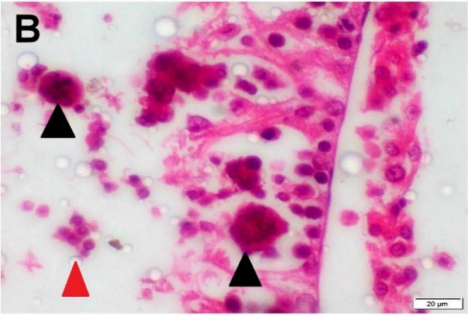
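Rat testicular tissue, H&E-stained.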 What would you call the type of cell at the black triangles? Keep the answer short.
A: Huge spermatid giant cells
